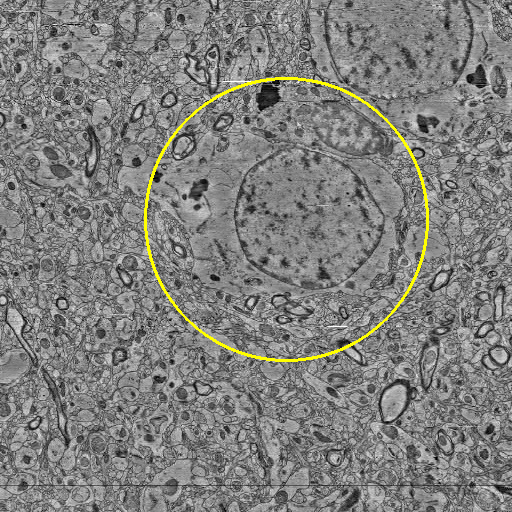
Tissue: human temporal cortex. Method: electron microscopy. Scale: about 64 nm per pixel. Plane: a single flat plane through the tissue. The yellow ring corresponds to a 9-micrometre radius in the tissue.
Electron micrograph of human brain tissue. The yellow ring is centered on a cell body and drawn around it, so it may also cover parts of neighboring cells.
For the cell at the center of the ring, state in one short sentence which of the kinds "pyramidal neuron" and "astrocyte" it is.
This ring is centered on an astrocyte.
